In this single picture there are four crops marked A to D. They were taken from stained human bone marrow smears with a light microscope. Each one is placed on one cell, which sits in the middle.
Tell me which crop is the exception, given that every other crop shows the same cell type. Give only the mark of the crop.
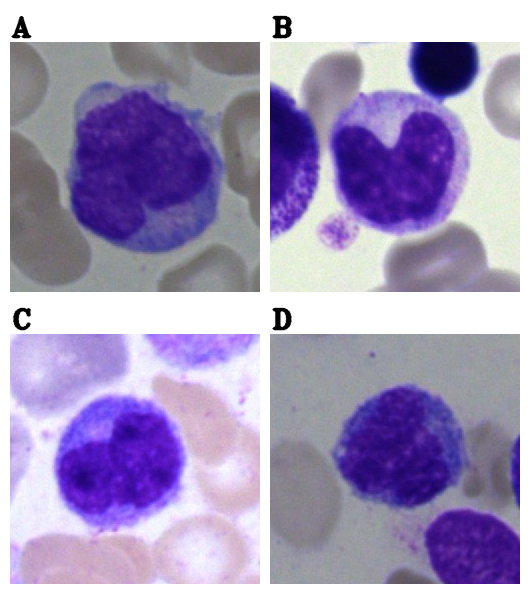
B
